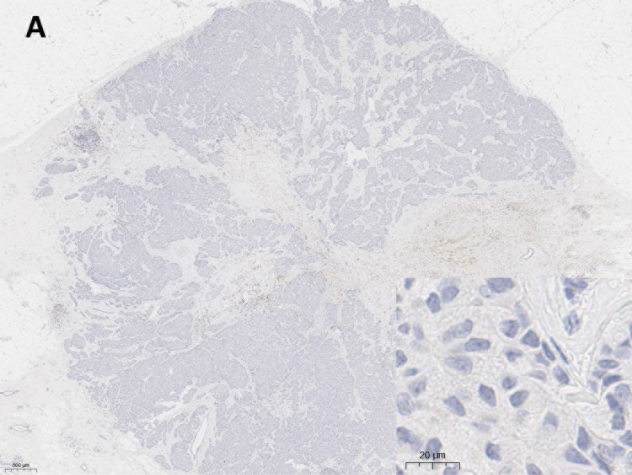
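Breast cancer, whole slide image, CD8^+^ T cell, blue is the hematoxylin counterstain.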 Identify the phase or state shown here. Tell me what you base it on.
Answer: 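The tumor mass is almost wholly blue with hardly any brown cells. The inset shows only blue-stained tumor nuclei.
Hence: immune-desert.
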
